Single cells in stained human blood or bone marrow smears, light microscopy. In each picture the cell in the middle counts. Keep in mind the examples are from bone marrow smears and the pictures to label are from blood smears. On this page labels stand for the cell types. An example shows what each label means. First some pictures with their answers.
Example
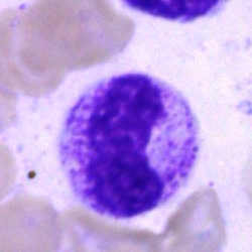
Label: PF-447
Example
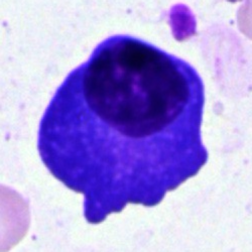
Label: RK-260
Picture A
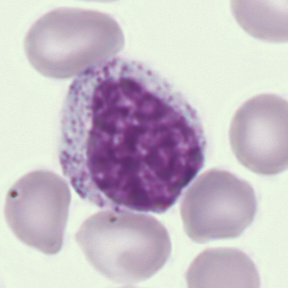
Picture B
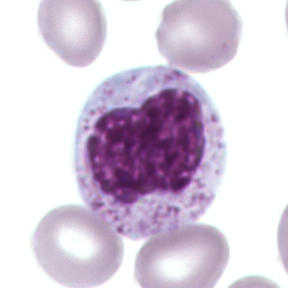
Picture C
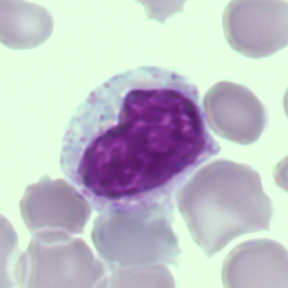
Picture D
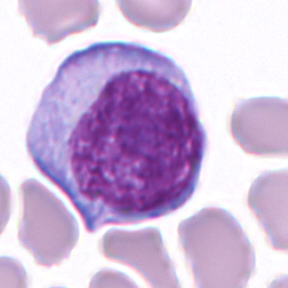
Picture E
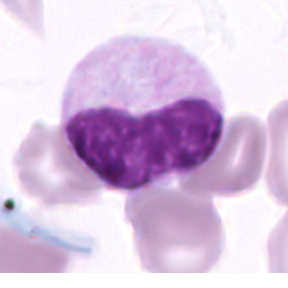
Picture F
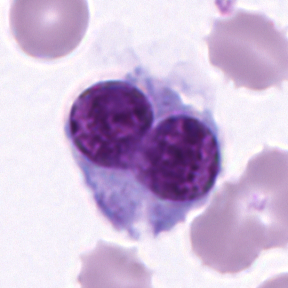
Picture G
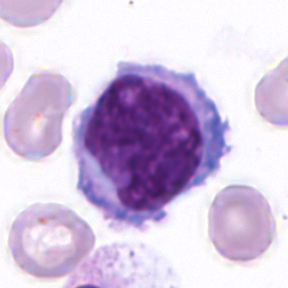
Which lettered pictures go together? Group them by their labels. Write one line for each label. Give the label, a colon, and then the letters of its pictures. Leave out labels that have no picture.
PF-447: A, B, C, E
RK-260: D, F, G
